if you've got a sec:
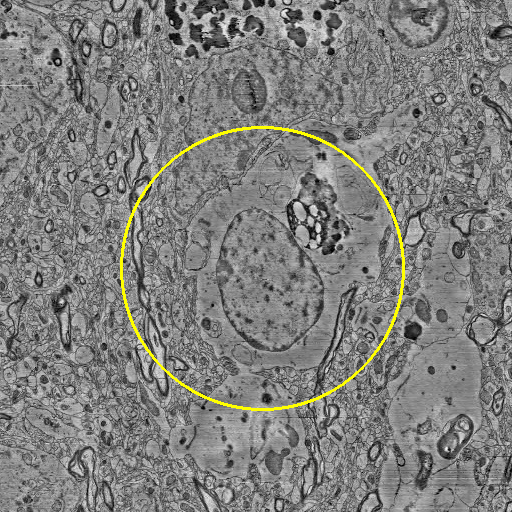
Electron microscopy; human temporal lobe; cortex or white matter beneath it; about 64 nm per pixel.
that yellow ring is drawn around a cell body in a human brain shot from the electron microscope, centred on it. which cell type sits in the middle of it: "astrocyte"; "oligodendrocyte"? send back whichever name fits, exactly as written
astrocyte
